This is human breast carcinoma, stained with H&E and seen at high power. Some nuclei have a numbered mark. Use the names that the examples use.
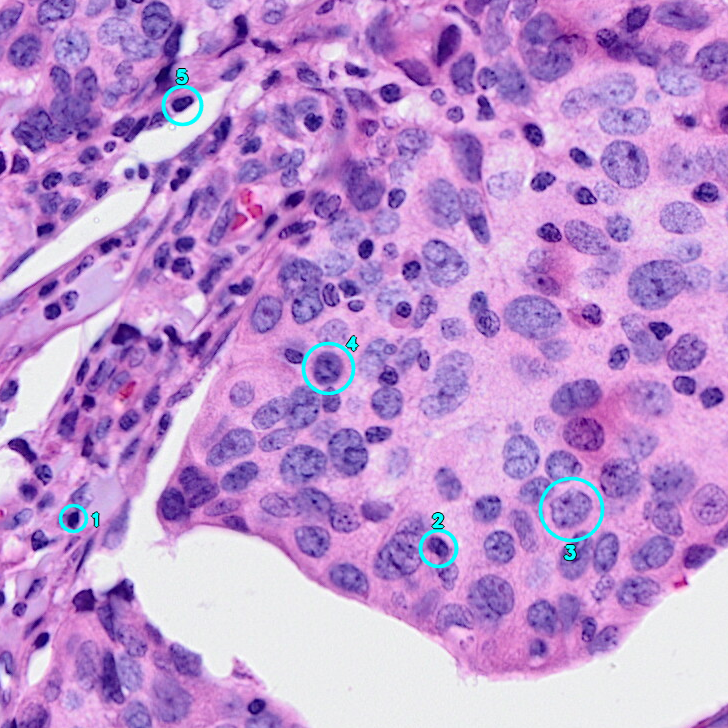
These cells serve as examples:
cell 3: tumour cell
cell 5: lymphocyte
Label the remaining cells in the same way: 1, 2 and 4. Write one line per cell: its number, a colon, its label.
1: lymphocyte
2: lymphocyte
4: tumour cell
